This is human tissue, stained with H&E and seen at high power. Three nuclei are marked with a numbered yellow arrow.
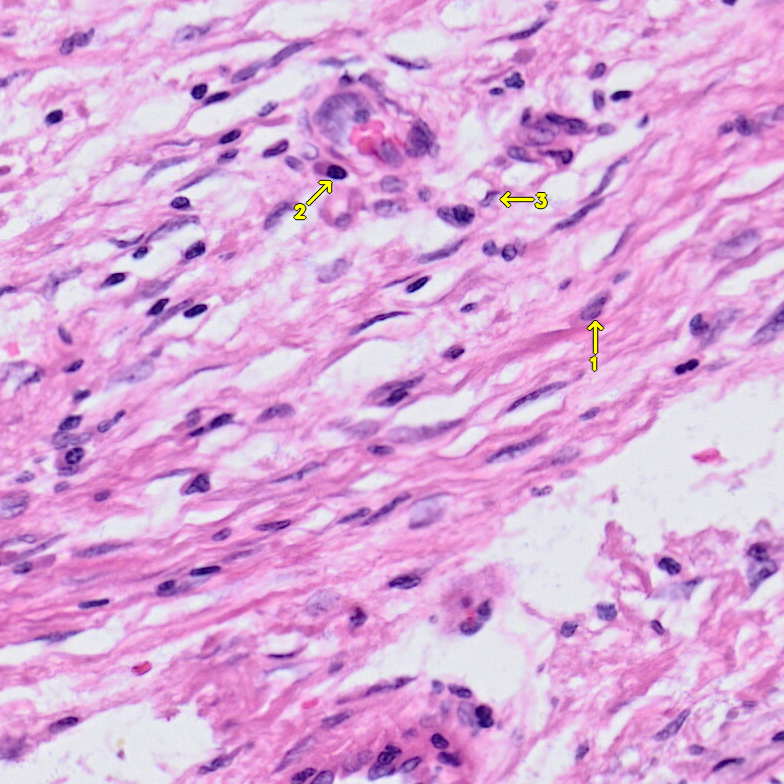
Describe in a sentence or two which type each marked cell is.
Cell 1 is a macrophage or monocyte, cell 2 is a plasma cell and cell 3 is a fibroblast or myofibroblast.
